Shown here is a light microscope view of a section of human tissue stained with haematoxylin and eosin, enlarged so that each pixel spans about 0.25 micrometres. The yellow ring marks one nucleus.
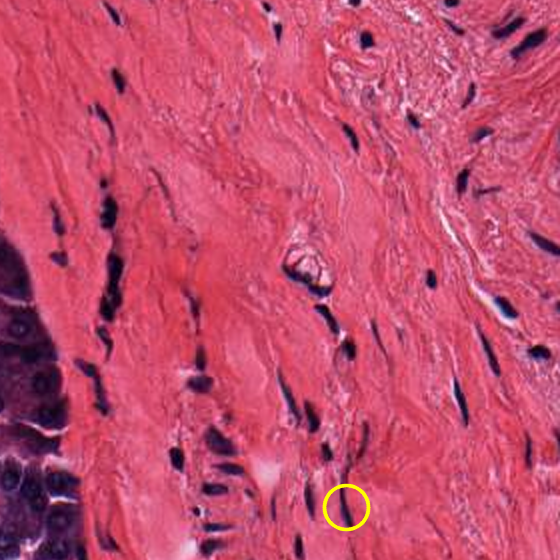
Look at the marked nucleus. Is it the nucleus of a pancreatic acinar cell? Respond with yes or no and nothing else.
no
